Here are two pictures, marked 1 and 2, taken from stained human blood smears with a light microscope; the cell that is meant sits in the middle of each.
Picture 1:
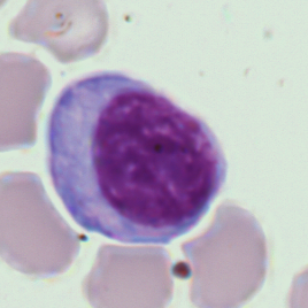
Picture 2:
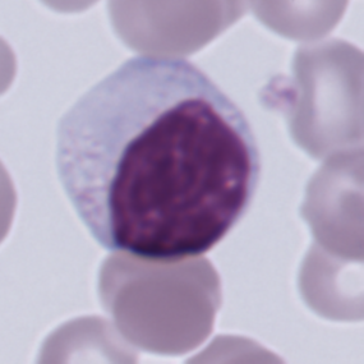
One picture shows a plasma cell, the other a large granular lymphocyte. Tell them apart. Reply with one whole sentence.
It is picture 1 that shows a plasma cell, and picture 2 that shows a large granular lymphocyte.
